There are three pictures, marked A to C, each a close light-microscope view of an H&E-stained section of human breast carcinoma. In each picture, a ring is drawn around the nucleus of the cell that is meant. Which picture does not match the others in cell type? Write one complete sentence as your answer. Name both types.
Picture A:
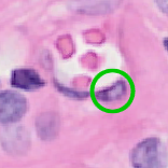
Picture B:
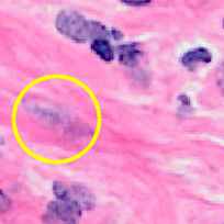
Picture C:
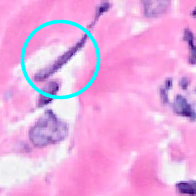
The different one is picture A; it shows an endothelial cell, whereas all the others show fibroblasts.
